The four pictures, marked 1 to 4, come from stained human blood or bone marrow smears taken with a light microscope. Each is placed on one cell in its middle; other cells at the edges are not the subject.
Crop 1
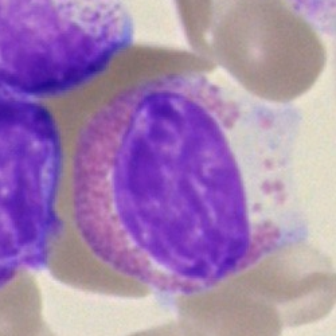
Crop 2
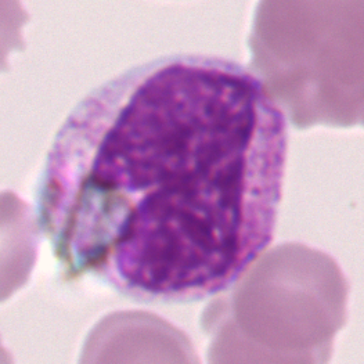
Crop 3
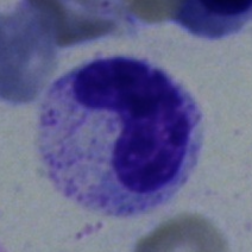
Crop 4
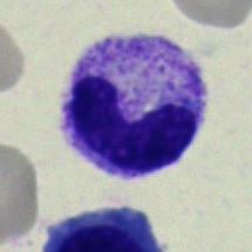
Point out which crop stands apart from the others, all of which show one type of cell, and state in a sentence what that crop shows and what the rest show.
Of the crops, all show band neutrophils save crop 1, which shows an eosinophil.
